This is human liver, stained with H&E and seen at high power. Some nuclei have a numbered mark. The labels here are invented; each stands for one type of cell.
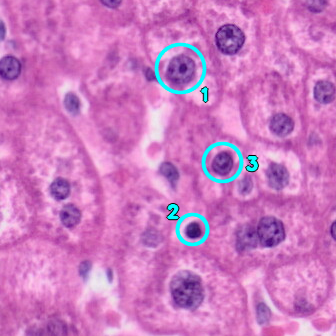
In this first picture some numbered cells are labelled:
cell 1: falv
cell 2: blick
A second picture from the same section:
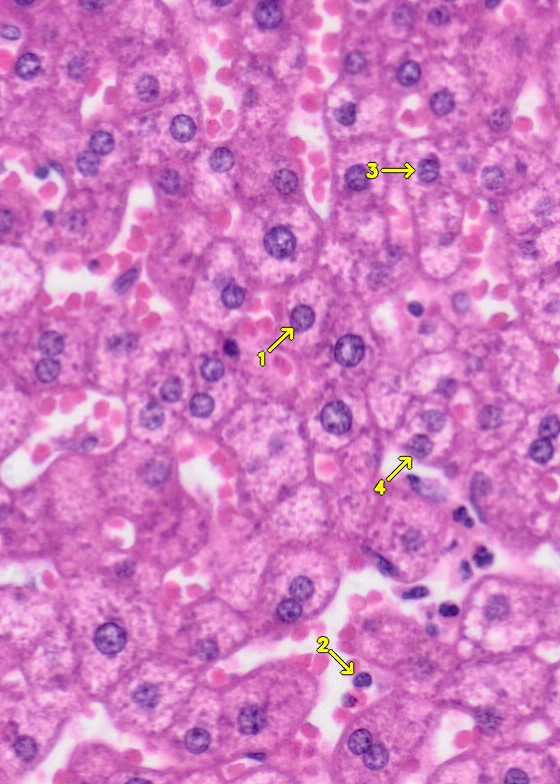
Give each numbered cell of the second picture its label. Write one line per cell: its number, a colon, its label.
1: falv
2: blick
3: falv
4: falv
